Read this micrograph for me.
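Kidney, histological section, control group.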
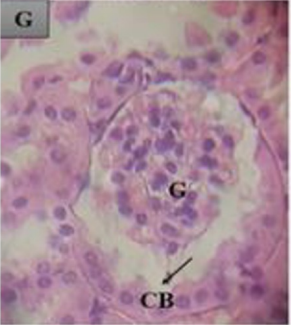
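A rounded renal corpuscle sits at the centre, its tuft of capillary loops crowded with dark purple nuclei. A thin wall encircles the tuft, leaving a narrow clear space between them. Around the corpuscle lie tubules cut in cross-section, lined by cuboidal cells with pink cytoplasm and round nuclei. This is the glomerulus within its Bowman capsule, surrounded by renal tubules of the cortex.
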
